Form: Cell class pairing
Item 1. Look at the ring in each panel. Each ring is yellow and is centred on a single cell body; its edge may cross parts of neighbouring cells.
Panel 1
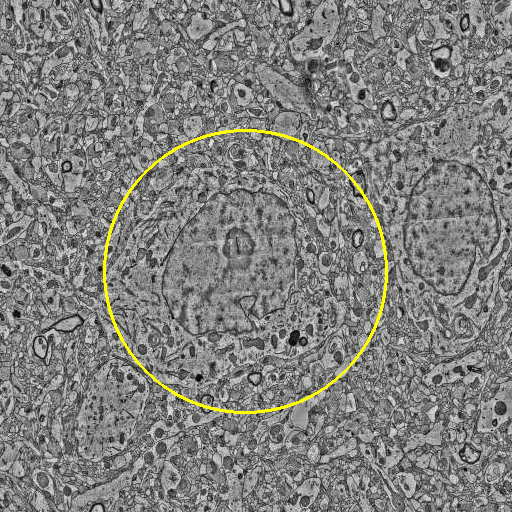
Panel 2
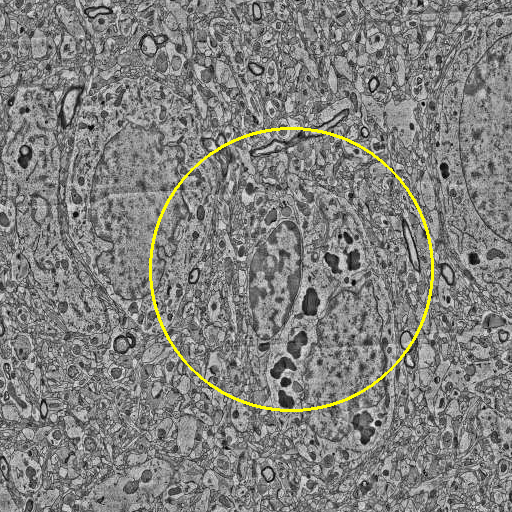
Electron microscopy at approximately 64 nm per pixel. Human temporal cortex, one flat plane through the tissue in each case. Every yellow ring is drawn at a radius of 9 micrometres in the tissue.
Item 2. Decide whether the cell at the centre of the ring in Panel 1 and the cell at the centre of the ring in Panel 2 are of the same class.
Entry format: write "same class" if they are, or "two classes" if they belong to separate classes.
two classes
